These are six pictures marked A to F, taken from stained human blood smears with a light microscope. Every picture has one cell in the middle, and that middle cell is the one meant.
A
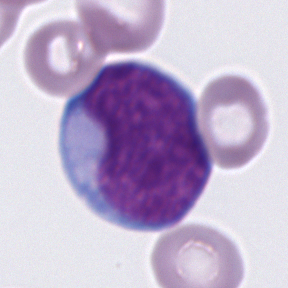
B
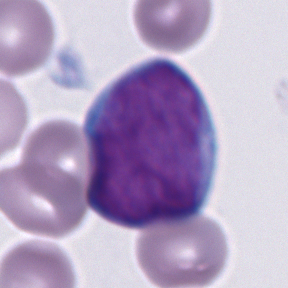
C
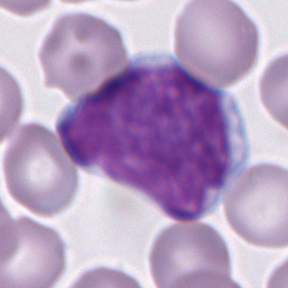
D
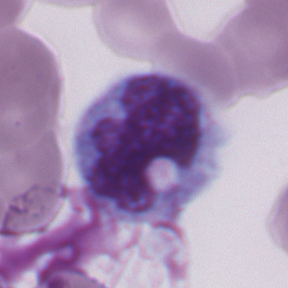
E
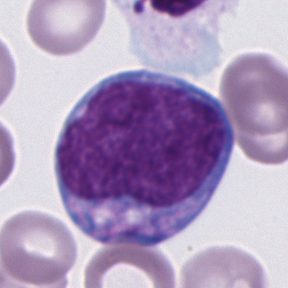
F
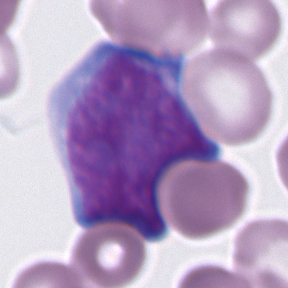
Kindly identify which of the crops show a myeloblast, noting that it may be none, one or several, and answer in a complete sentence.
The central cells in crops A, B, C and F are recognised as myeloblasts.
